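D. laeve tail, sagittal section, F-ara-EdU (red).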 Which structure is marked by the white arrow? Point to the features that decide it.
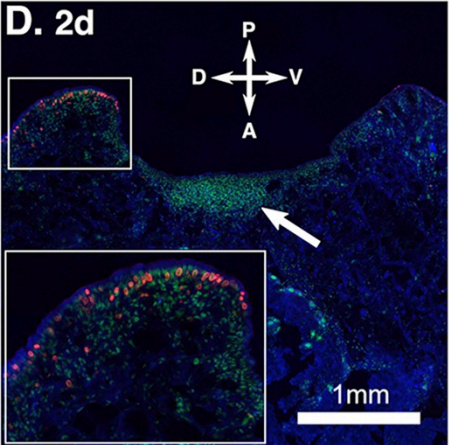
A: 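Blastema. The arrow points to a dense, brightly stained cap of cells at the cut end of the tissue.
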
